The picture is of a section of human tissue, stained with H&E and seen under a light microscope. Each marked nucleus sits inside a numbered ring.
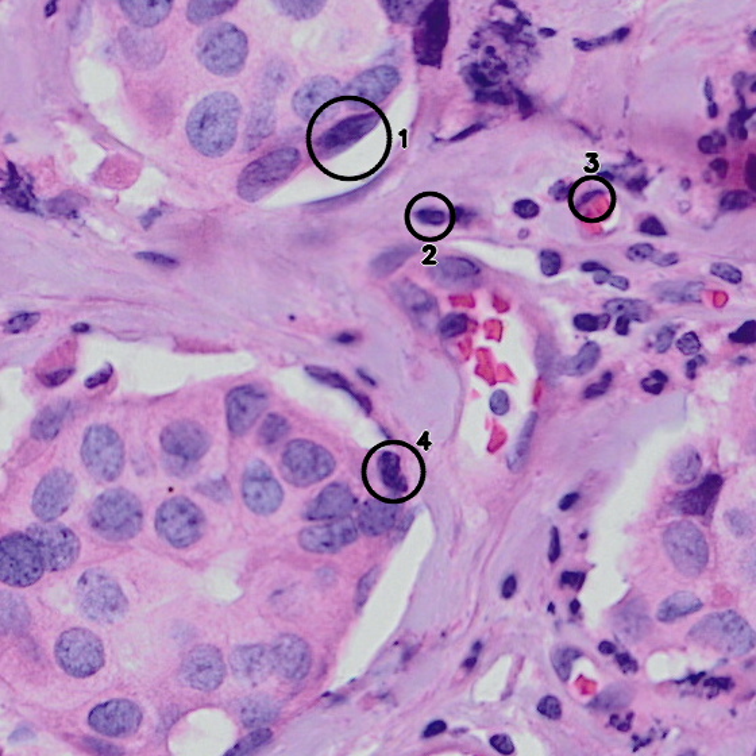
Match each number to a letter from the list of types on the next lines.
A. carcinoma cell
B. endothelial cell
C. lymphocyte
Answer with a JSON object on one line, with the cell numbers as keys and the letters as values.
{"1": "A", "2": "C", "3": "B", "4": "A"}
